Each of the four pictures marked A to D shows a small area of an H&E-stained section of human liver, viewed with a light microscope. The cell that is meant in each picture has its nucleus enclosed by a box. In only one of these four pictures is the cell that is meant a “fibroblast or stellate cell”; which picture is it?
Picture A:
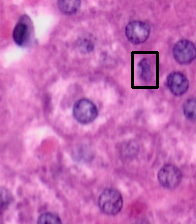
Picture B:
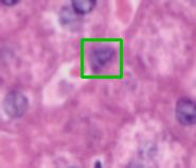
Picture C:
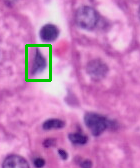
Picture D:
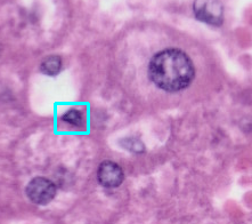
D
